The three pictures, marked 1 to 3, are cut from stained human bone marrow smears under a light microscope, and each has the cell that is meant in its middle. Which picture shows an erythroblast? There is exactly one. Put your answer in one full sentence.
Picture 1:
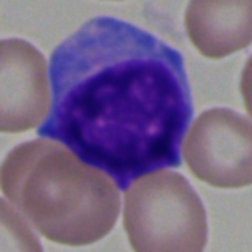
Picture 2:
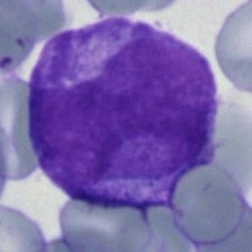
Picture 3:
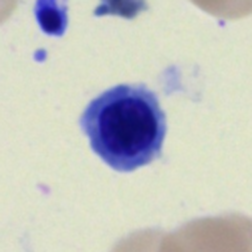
Picture 3 is the one that shows the erythroblast.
